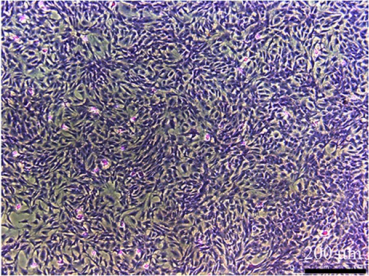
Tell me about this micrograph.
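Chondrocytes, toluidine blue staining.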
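The cells are spindle-shaped to polygonal, stained purple-blue, with darker nuclei set in paler cytoplasm. They lie packed closely side by side, often aligned in parallel streams and swirling arrays, leaving very little uncovered background between them. Scattered among them are a few smaller, rounded cells that stain a brighter pinkish purple.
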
